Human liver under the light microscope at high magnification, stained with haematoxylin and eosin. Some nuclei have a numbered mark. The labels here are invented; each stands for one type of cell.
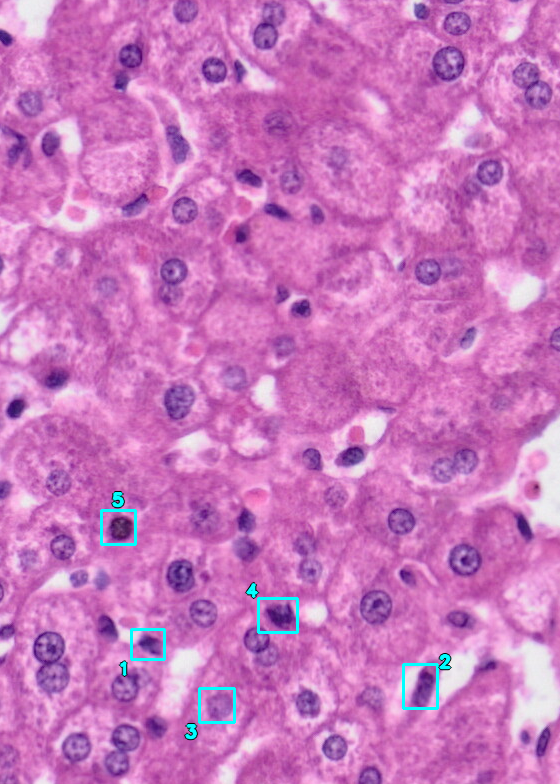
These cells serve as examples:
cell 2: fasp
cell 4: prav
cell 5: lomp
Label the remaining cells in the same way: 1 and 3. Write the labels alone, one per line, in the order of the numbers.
prav
lomp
